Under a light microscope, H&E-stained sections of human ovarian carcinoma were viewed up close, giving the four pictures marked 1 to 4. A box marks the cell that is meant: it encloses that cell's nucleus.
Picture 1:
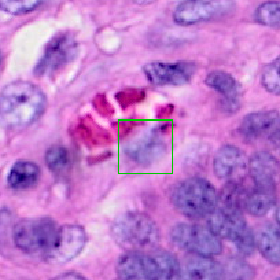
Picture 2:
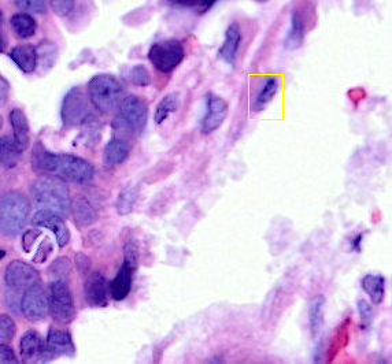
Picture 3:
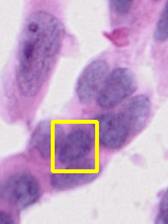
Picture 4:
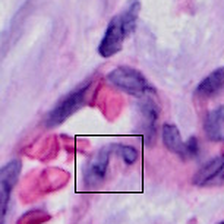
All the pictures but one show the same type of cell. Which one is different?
3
